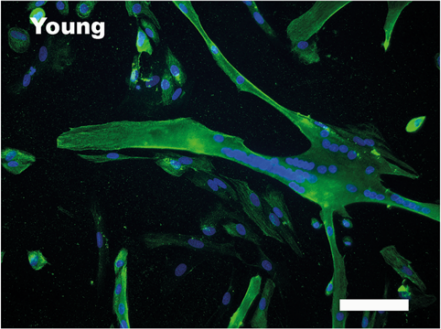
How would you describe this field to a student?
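The most prominent is a broad, flattened myotube with green cytoplasm that spreads across the centre of the field and branches at its ends. Many oval blue nuclei are clustered together within this myotube. Around it lie smaller green cells, some elongated and spindle-shaped, with one or a few nuclei each. The background between cells is dark and empty.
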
